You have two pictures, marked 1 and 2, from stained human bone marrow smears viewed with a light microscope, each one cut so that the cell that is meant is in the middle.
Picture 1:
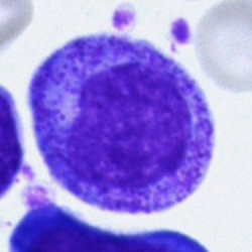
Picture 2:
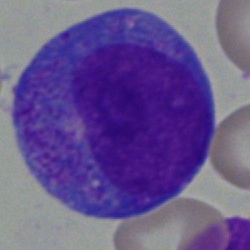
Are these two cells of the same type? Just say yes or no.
no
